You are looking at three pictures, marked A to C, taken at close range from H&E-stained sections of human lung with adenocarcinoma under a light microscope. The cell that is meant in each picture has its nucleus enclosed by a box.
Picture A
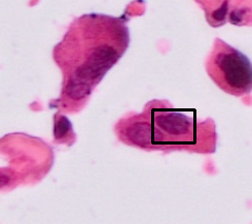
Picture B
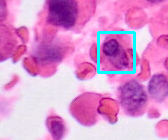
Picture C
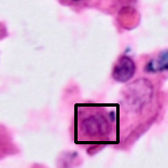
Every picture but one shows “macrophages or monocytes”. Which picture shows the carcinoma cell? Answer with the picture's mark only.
A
